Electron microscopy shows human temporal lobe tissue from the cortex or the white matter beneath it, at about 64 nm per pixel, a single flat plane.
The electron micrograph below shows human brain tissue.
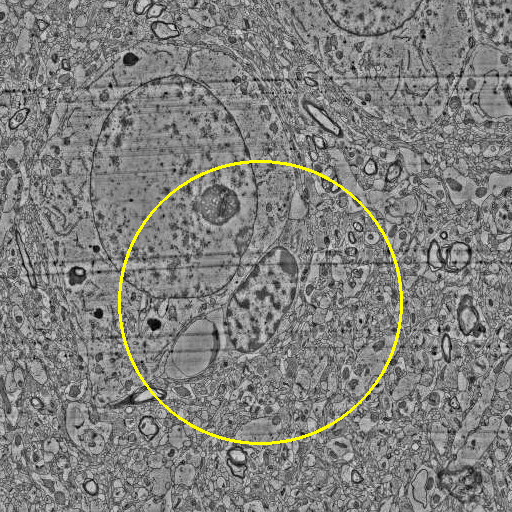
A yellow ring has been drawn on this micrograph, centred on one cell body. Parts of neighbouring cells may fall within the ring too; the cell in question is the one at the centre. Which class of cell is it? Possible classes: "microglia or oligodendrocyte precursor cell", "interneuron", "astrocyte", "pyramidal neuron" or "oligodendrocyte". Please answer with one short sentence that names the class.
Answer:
In the centre of the ring sits a microglial cell or oligodendrocyte precursor cell.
